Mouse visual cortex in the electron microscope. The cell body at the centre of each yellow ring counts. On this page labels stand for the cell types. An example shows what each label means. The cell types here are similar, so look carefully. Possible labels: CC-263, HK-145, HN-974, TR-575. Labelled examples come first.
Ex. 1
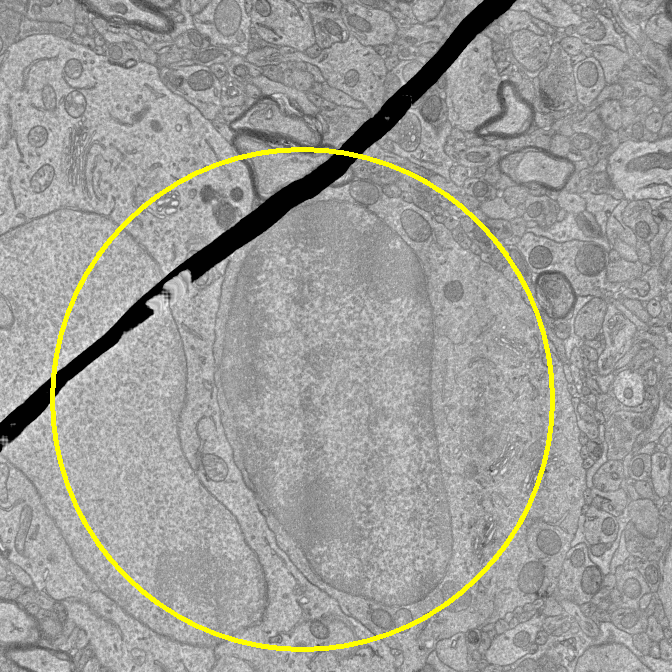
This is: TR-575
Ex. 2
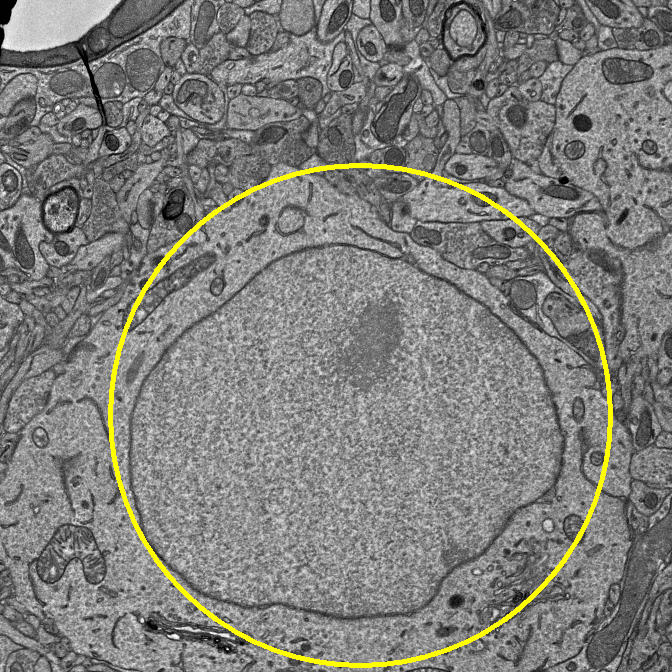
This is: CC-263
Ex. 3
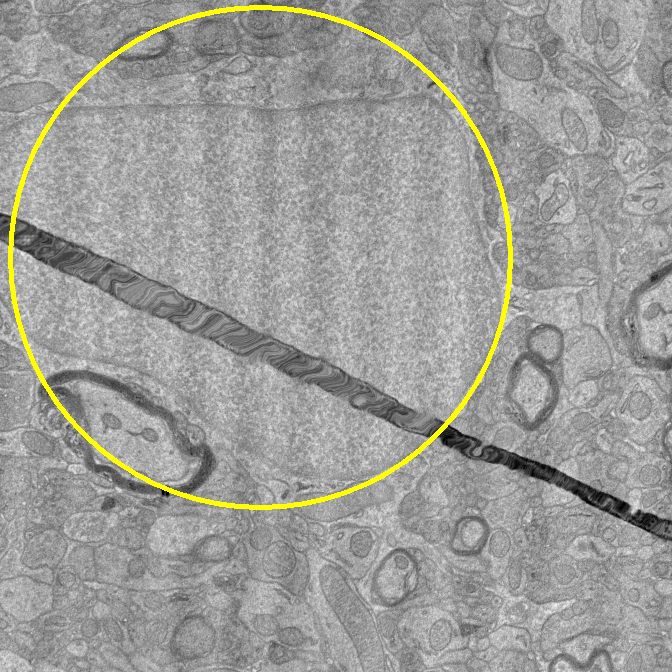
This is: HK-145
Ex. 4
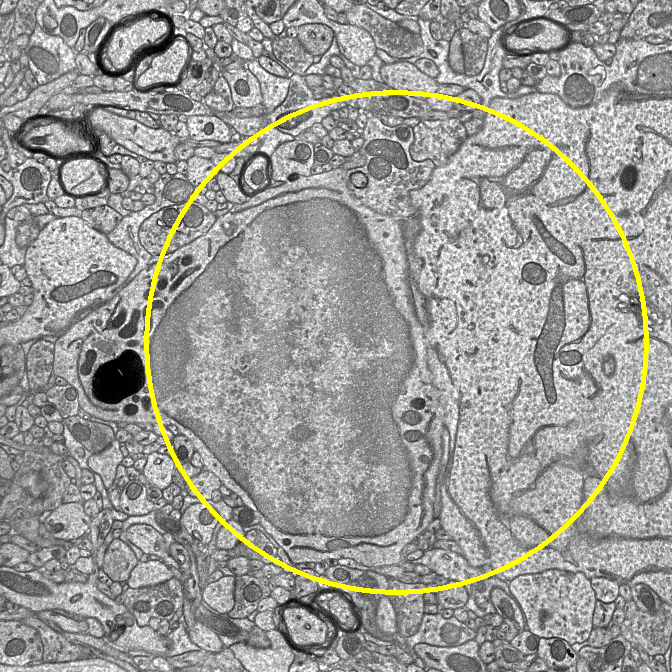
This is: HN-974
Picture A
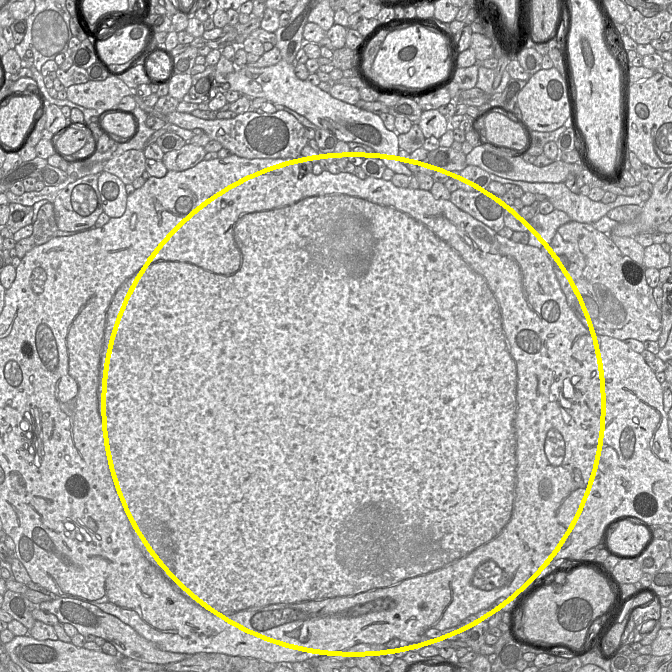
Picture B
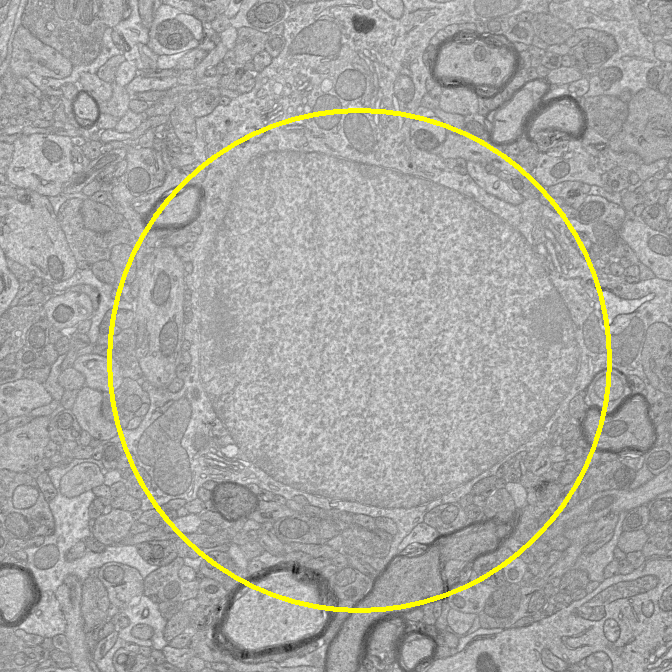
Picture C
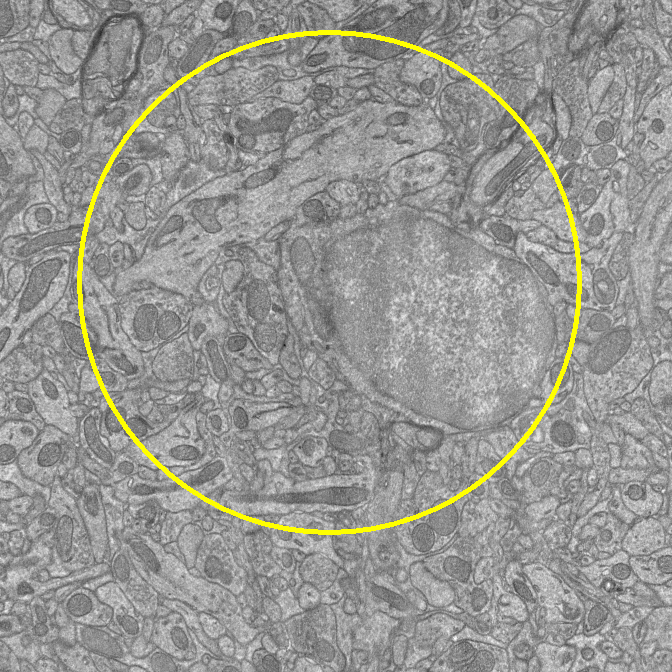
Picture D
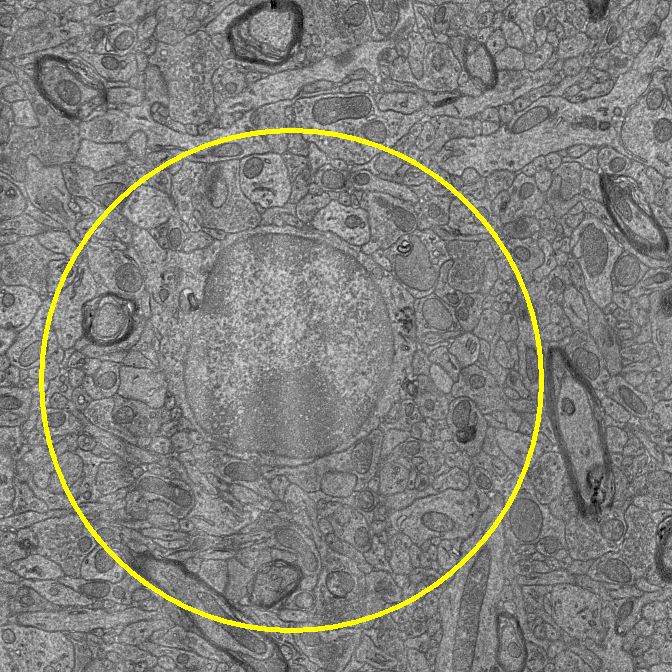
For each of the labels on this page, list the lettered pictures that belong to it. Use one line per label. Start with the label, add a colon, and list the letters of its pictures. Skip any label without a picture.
CC-263: A
HK-145: B
TR-575: C, D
